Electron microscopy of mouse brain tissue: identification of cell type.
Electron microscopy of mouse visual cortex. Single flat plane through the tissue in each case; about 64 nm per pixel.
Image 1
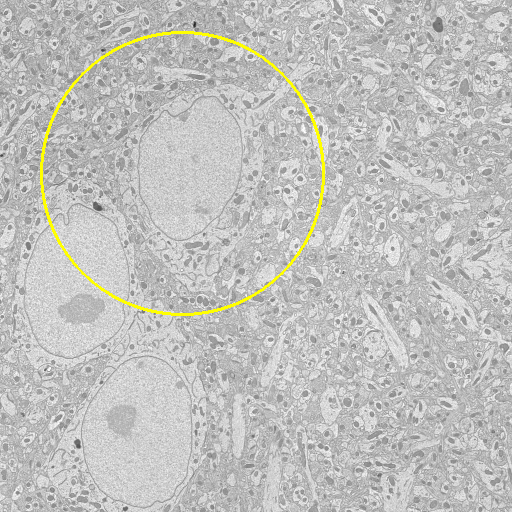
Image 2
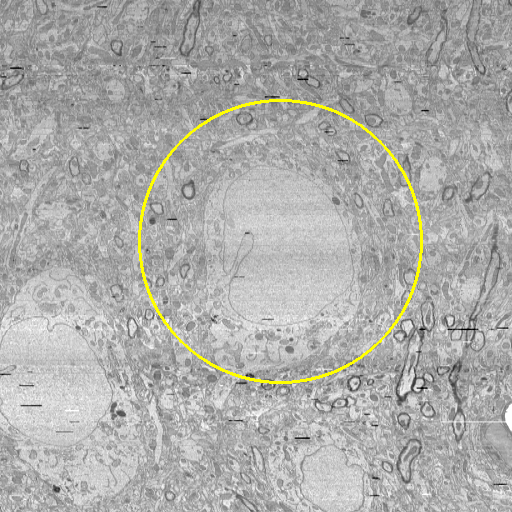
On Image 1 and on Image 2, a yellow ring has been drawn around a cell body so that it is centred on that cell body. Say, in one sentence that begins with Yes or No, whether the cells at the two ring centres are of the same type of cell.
Yes, both cells are the same type of cell.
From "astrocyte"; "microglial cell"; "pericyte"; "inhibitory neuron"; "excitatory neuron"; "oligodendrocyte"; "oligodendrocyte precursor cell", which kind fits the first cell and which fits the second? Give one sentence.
Each of the two pictures has an excitatory neuron at the ring centre.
